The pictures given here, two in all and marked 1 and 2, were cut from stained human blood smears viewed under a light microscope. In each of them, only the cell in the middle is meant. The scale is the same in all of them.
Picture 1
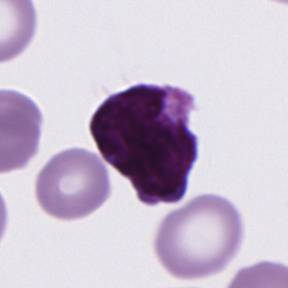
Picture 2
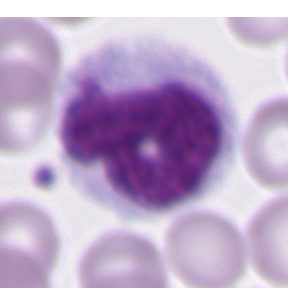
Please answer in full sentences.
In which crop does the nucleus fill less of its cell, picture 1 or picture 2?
In picture 2 the nucleus takes up the smaller part of its cell.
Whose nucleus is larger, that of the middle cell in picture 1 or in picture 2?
The nucleus in picture 2 is larger, with about 1.5 times the area of the one in picture 1.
